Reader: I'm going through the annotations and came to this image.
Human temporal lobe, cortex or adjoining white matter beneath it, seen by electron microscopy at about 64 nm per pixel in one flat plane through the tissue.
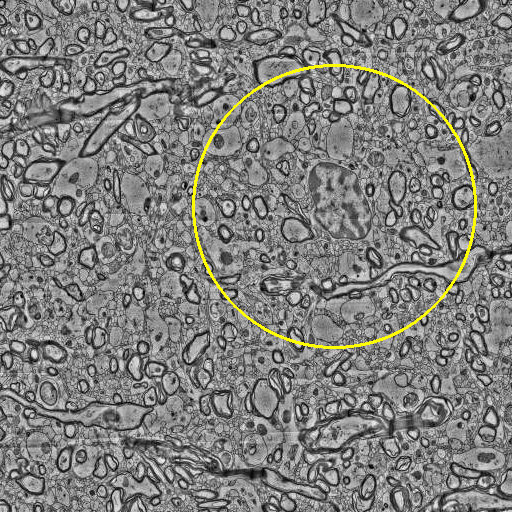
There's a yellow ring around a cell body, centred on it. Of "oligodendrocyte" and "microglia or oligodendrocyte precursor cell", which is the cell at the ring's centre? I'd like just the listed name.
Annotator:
microglia or oligodendrocyte precursor cell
